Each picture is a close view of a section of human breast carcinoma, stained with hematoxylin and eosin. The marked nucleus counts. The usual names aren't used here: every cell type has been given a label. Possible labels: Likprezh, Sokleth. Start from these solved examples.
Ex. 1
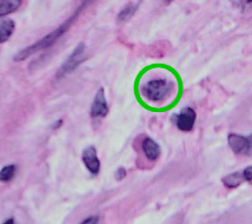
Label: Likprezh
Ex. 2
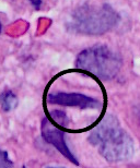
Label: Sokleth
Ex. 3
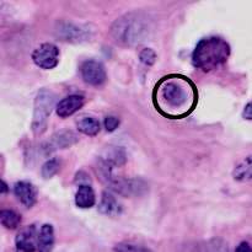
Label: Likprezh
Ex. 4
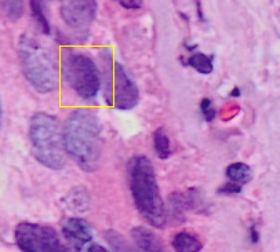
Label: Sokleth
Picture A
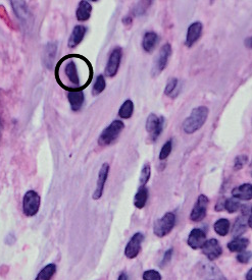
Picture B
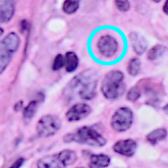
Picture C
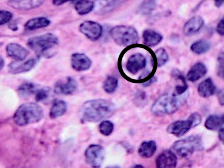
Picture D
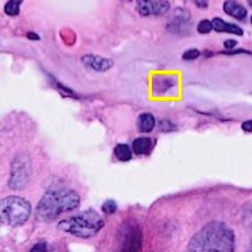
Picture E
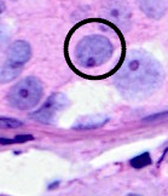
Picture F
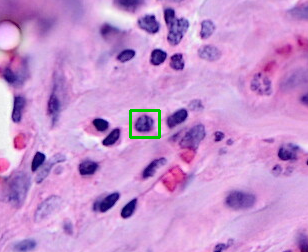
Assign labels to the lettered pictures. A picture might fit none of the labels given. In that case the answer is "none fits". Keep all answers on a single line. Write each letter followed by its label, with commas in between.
A none fits, B Likprezh, C none fits, D Likprezh, E Sokleth, F Likprezh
